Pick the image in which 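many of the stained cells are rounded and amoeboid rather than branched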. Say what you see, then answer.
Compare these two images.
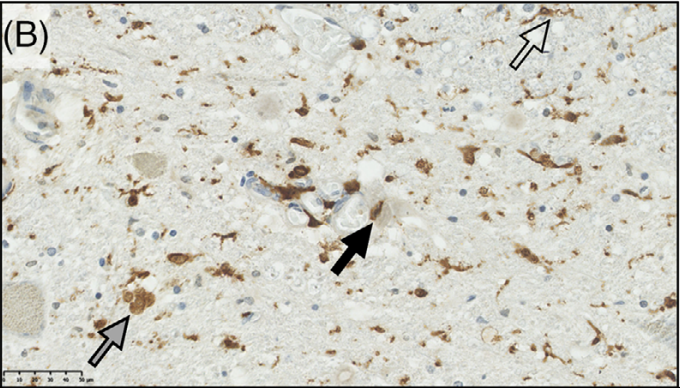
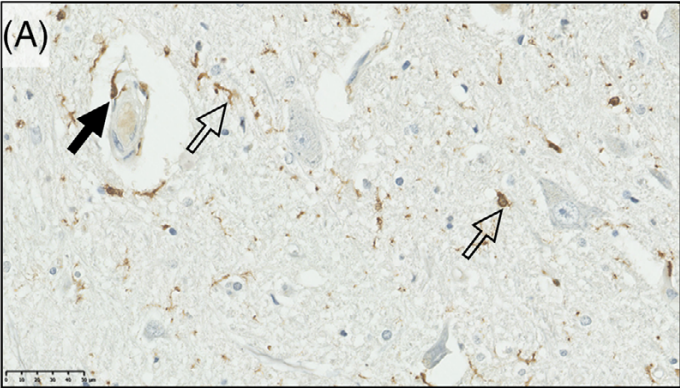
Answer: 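First image: many densely brown cells are plump and rounded, with short or no processes. Second image: the brown cells are small with thin branching processes. On this evidence: the first image.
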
